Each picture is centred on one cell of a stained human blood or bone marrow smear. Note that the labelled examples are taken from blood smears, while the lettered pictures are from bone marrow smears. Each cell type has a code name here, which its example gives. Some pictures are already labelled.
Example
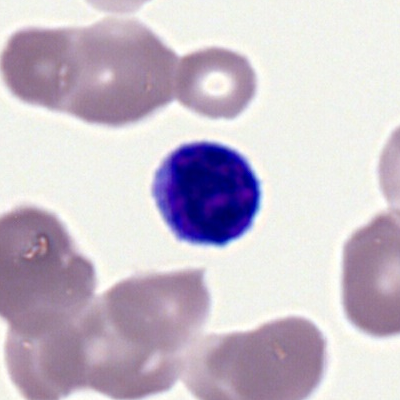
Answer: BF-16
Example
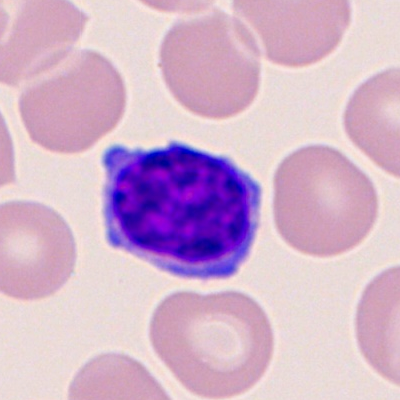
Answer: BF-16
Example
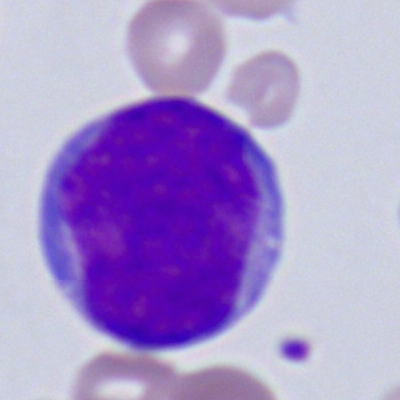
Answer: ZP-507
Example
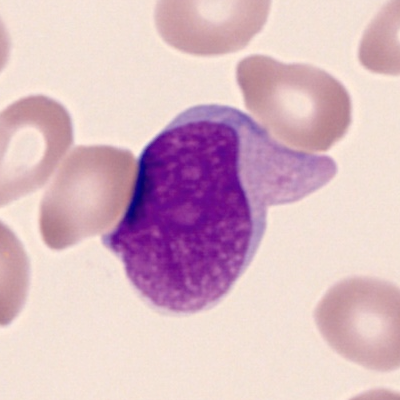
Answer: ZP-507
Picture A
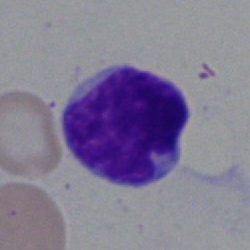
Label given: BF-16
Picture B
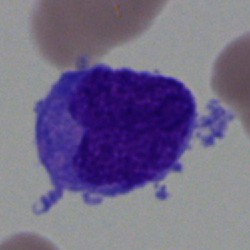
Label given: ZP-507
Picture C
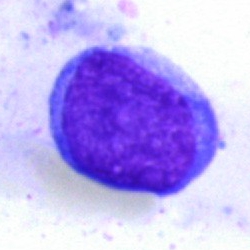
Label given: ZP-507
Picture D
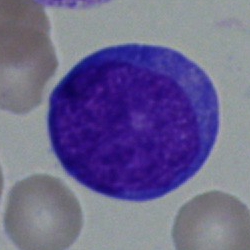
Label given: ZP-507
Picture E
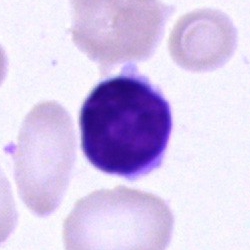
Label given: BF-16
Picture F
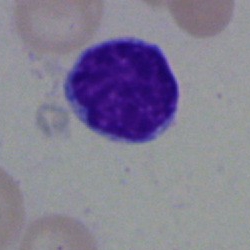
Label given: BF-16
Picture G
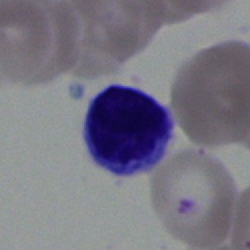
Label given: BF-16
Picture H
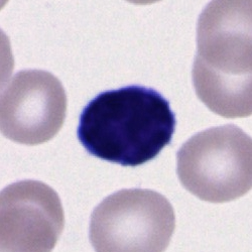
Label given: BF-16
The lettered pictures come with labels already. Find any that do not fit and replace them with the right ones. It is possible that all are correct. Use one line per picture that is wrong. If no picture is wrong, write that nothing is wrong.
None of the labels needs changing.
